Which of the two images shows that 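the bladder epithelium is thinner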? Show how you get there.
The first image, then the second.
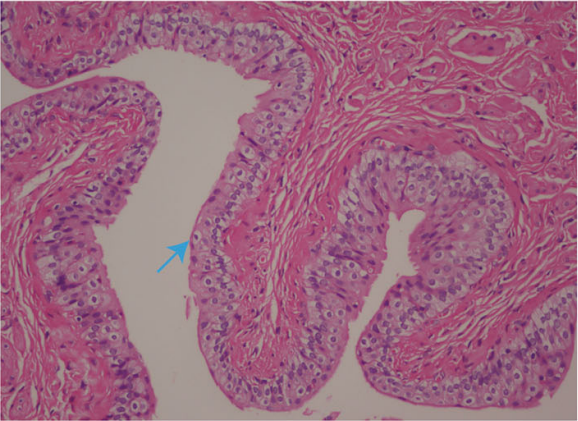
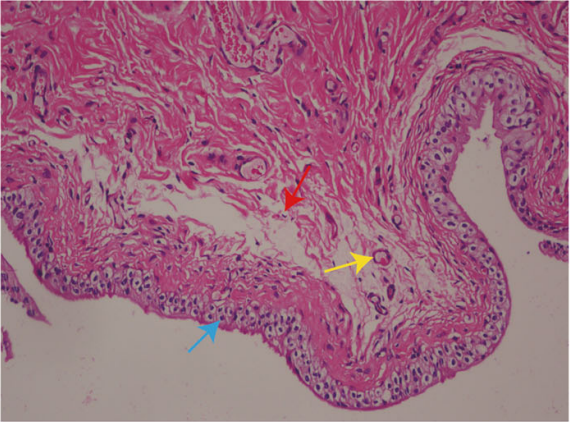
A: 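First image: the lining is many cell layers thick with tall folds. Second image: the lining is a narrower band of fewer cell layers.
The second image.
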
